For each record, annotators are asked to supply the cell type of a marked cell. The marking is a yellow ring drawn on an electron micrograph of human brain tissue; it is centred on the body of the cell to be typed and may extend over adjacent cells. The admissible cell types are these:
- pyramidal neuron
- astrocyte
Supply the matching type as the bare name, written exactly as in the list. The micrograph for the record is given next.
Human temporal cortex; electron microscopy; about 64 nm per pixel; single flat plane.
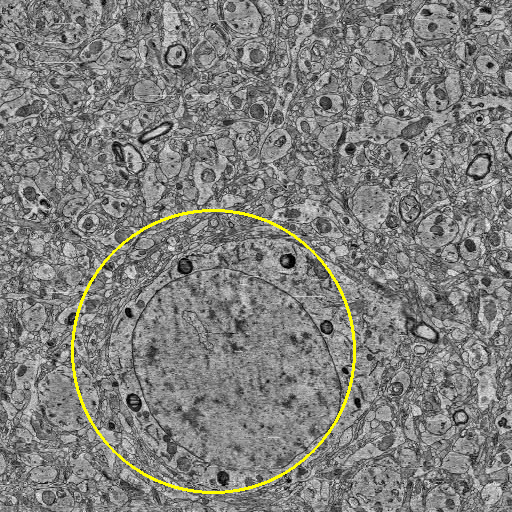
pyramidal neuron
